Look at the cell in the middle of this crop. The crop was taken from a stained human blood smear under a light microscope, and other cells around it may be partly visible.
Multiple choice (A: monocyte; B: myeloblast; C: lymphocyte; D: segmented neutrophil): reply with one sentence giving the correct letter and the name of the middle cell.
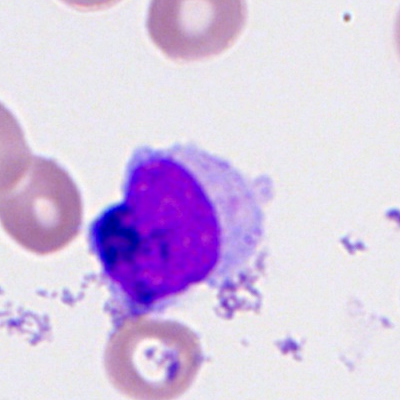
The cell centered in the crop is a lymphocyte, making option C the correct pick.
